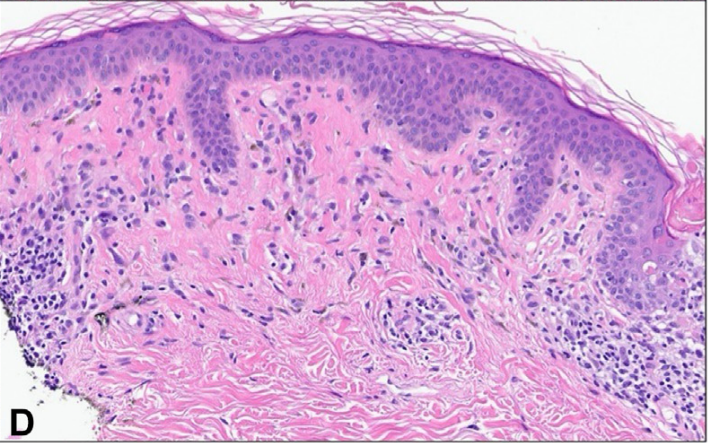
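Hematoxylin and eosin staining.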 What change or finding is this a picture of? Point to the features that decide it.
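Small dark round cells gather around small vessels in the upper dermis. Mononuclear cells are also spread between collagen fibres. So: perivascular and interstitial lymphohistiocytic inflammation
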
